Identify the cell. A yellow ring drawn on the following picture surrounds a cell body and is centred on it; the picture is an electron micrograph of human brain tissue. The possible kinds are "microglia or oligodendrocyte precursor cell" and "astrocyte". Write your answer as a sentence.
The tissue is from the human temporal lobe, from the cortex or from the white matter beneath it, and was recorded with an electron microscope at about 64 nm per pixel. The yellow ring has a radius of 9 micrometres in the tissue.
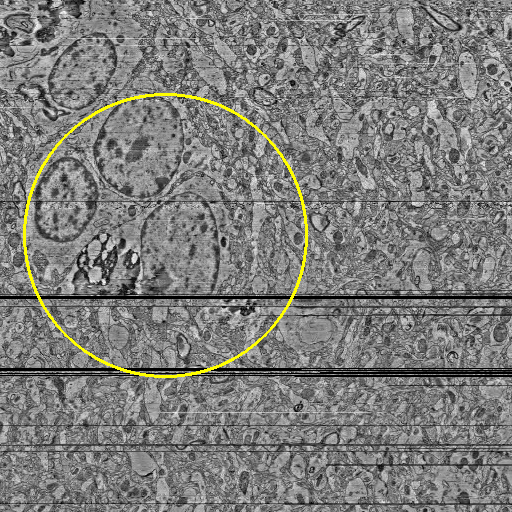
The cell identified by the ring is an astrocyte.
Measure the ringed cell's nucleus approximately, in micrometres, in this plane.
The nucleus is approximately 7 micrometers long by 5 micrometers wide in this plane.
